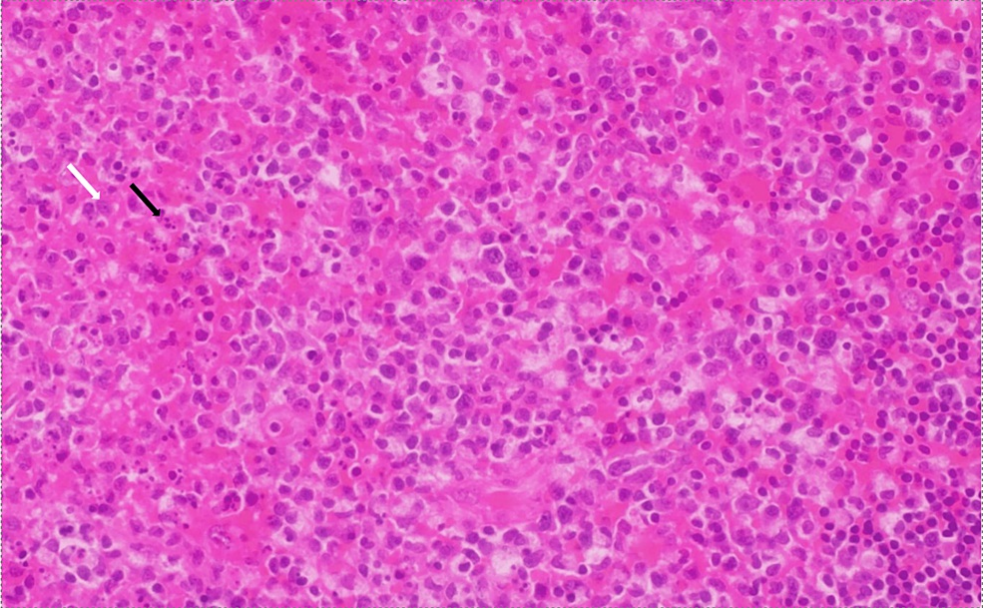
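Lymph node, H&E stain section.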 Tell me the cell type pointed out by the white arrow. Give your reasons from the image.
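Histiocytes. The white arrow points to a region of larger cells with ample pale pink cytoplasm. These cells have oval, paler nuclei than the small dark round nuclei around them.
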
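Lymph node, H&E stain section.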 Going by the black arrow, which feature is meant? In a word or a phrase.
Apoptotic bodies.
